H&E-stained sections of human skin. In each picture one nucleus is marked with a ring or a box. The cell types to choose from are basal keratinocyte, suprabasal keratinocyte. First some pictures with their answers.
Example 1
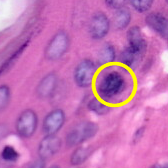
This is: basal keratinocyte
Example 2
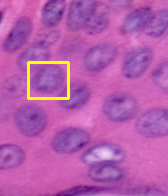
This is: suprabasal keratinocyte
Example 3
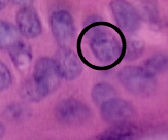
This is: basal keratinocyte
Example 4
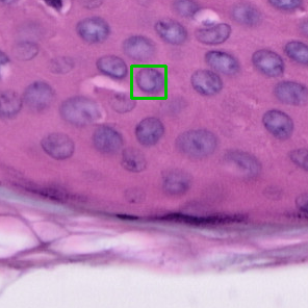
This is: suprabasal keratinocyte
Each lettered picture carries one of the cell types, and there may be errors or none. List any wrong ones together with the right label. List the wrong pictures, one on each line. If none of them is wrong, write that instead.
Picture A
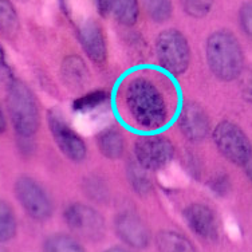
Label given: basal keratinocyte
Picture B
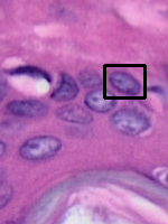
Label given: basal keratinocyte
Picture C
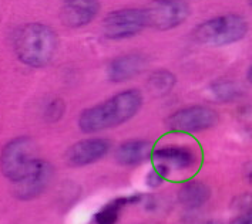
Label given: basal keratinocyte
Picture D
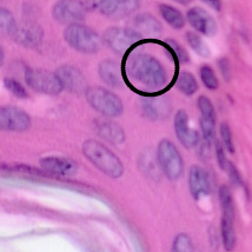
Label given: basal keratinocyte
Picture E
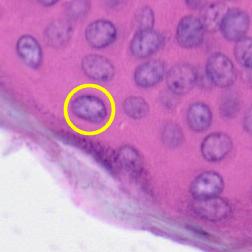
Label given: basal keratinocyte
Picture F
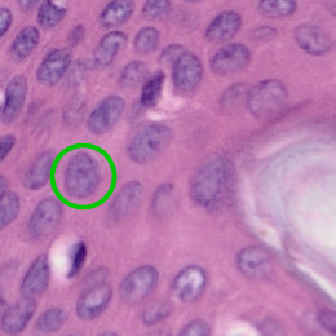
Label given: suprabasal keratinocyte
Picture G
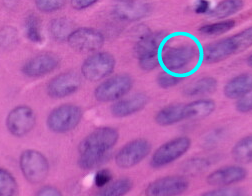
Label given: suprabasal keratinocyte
Wrong: E (basal keratinocyte); correct: suprabasal keratinocyte
Wrong: G (suprabasal keratinocyte); correct: basal keratinocyte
